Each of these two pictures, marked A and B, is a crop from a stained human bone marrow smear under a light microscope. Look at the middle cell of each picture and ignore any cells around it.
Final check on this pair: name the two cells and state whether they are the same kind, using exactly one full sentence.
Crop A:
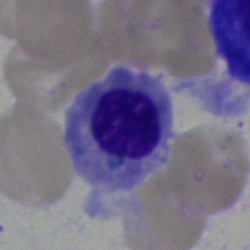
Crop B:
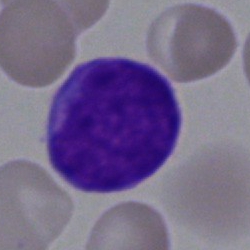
No, the cell in crop A is an erythroblast, and the cell in crop B is a blast.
